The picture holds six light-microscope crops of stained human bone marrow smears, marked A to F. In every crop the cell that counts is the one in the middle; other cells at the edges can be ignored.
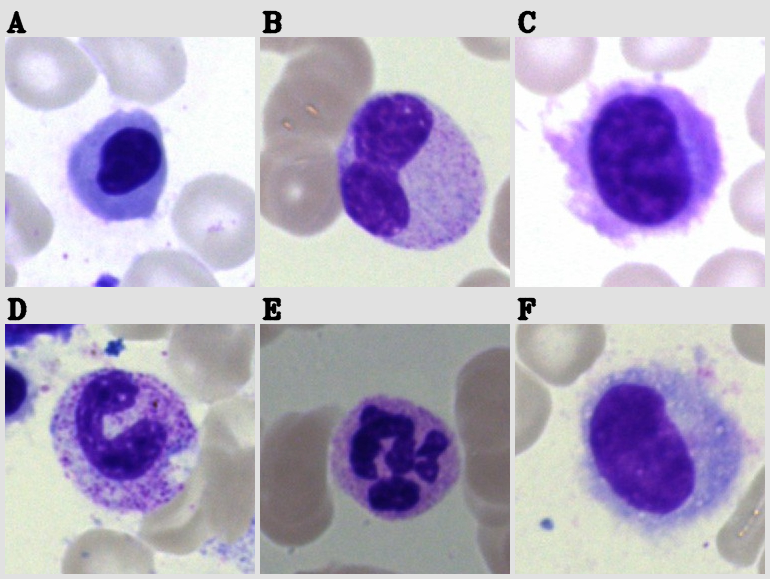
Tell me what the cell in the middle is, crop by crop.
A: erythroblast
B: band neutrophil
C: hairy cell
D: band neutrophil
E: segmented neutrophil
F: hairy cell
